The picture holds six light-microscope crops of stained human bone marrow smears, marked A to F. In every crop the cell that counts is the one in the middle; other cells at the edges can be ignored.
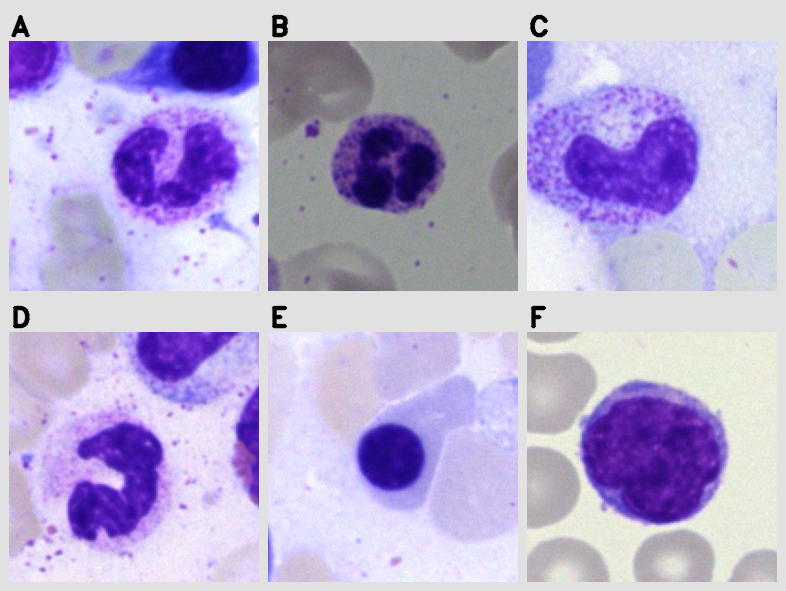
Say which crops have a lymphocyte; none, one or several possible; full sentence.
The center cell of every crop is something other than a lymphocyte.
